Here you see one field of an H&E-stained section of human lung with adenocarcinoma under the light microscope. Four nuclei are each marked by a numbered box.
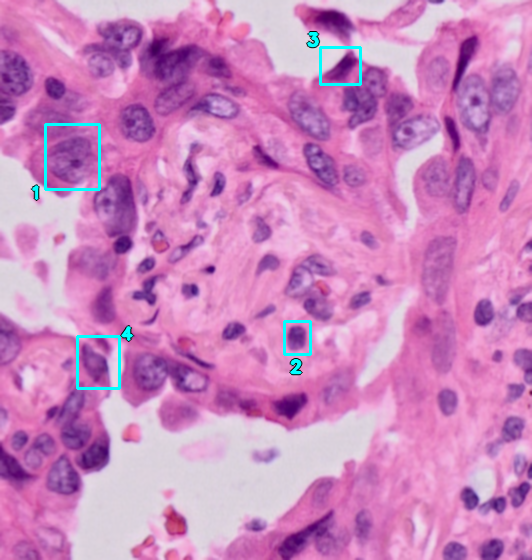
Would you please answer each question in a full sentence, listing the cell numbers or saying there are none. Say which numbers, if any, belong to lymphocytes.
The only cell among those numbered to be a lymphocyte is number 2.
